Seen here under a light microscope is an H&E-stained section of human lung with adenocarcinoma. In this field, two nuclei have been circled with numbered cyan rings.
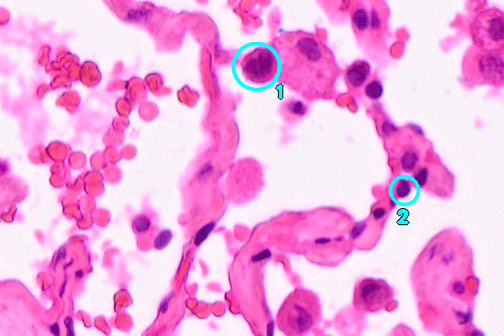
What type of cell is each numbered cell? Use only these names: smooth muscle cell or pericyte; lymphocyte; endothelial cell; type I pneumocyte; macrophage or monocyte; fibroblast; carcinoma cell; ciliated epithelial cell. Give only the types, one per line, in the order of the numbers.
macrophage or monocyte
type I pneumocyte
